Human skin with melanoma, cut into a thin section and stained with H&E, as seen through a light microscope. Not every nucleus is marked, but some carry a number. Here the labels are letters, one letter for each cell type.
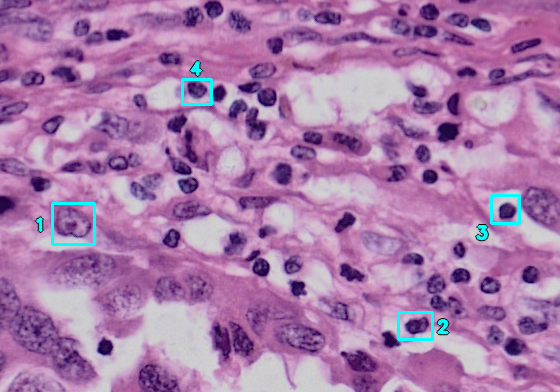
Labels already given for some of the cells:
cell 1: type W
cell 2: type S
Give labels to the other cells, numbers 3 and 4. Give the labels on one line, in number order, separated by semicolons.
type S; type S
